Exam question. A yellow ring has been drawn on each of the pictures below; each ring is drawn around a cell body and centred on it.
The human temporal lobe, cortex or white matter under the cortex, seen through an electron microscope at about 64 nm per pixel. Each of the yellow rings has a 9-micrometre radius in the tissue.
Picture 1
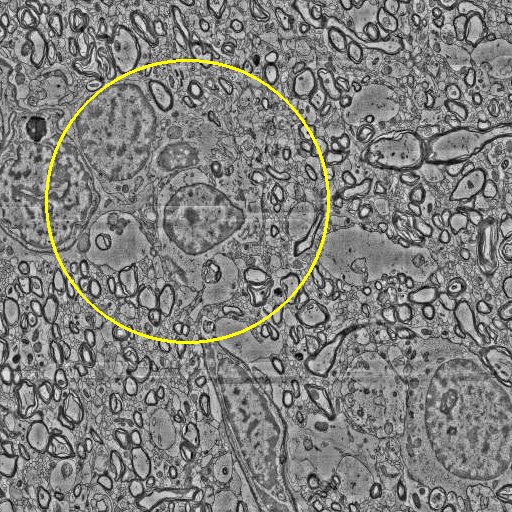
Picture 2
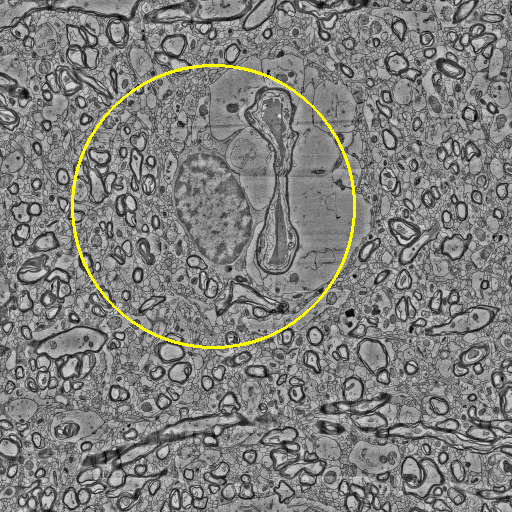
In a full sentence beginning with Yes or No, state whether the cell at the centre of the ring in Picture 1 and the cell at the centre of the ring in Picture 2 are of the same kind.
No, the cells are of two kinds.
